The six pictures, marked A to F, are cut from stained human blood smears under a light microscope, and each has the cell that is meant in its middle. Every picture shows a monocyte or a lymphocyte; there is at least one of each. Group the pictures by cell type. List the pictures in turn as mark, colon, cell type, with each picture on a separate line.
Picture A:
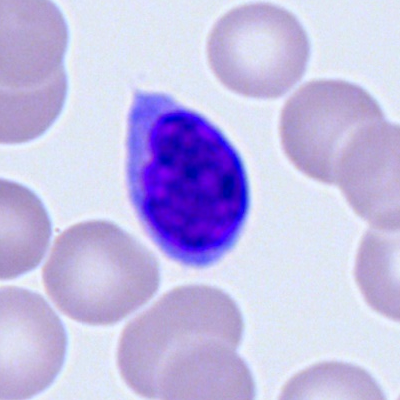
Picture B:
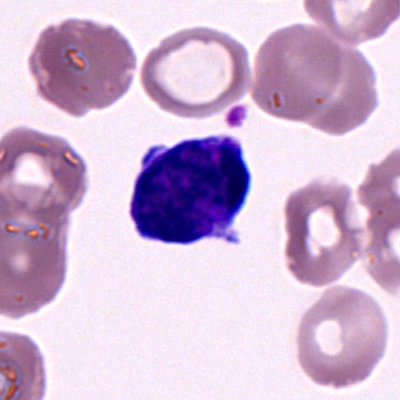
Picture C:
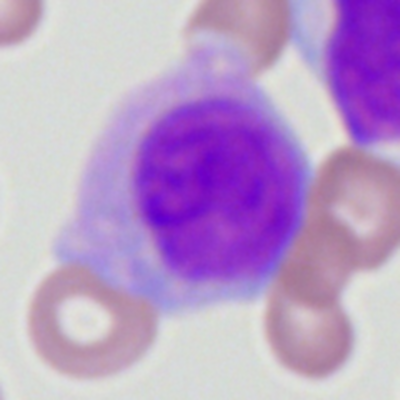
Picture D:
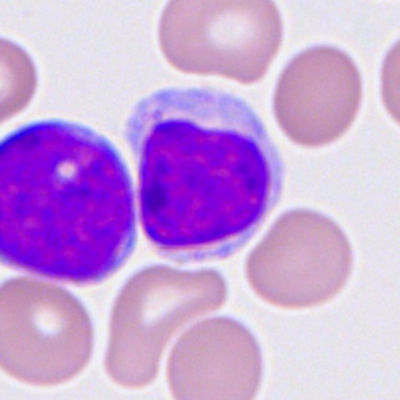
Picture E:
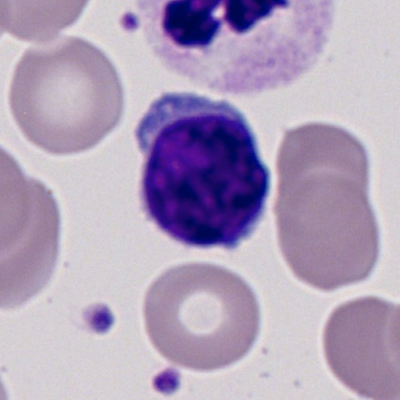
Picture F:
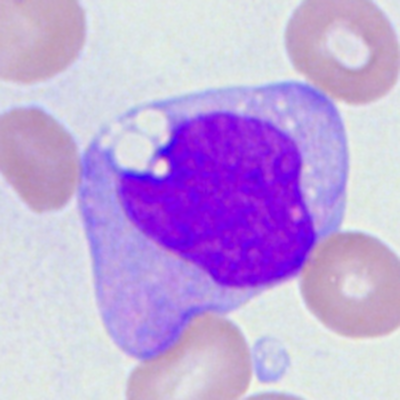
A: lymphocyte
B: lymphocyte
C: monocyte
D: lymphocyte
E: lymphocyte
F: monocyte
